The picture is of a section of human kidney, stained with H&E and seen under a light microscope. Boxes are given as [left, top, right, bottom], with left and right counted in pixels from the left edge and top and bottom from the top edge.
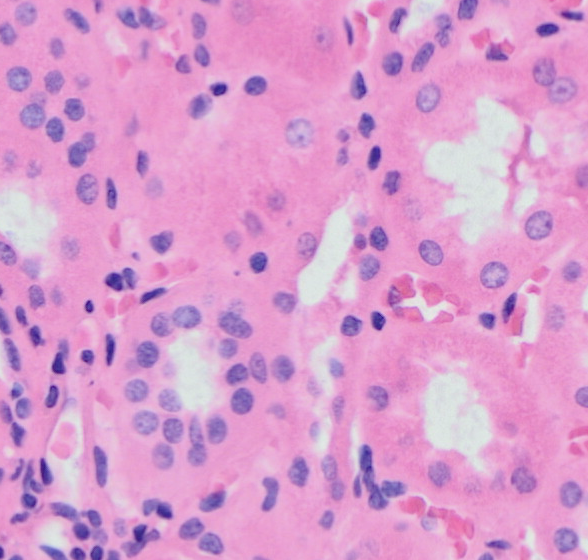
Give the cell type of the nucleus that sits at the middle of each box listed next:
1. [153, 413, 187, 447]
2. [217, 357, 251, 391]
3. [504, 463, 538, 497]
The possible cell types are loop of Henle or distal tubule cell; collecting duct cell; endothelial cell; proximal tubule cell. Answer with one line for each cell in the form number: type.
1: collecting duct cell
2: collecting duct cell
3: proximal tubule cell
